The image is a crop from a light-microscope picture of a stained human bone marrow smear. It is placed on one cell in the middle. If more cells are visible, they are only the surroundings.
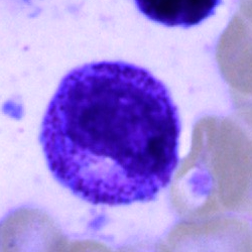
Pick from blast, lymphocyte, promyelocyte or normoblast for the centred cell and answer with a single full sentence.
The cell positioned in the middle of the field is a promyelocyte.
